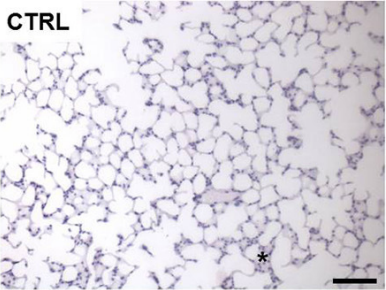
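This is lung parenchyma, a sponge-like meshwork of alveoli bounded by thin alveolar septa. The septa appear as delicate pink strands carrying small, dark purple nuclei, which cluster where septa meet. Most alveolar spaces are open and empty, polygonal to rounded, and vary in size. In places the septa crowd together so that the air spaces are small or absent and the tissue looks denser; the asterisk marks one such area of collapsed alveoli near the lower edge. No thick inflammatory infiltrate or fluid fills the air spaces.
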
